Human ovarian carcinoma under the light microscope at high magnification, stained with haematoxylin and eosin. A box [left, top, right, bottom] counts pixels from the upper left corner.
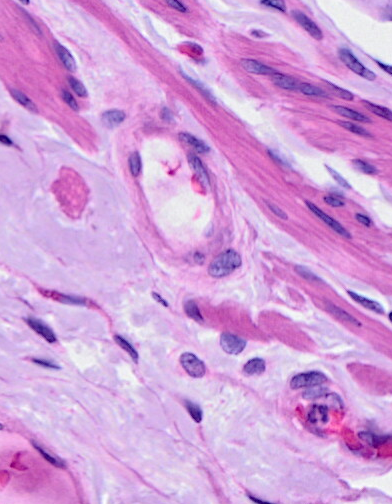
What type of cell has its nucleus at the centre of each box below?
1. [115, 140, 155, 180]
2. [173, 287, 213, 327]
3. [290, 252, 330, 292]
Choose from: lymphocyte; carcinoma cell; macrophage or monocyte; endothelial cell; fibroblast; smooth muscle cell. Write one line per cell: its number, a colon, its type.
1: endothelial cell
2: smooth muscle cell
3: smooth muscle cell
